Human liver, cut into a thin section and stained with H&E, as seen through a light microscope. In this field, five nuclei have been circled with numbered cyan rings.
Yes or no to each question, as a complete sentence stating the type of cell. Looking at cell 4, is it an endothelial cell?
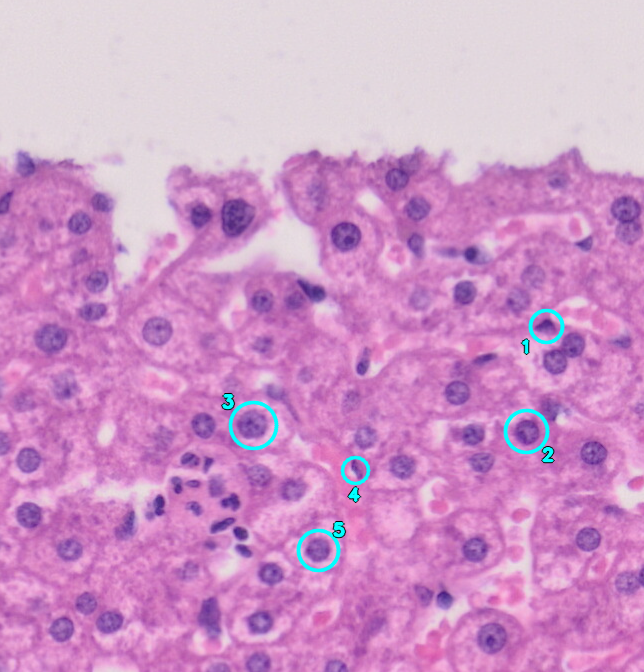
Yes, the cell that number 4 points to is an endothelial cell.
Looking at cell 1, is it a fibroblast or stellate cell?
Yes, the one with the number 1 is a fibroblast or stellate cell.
